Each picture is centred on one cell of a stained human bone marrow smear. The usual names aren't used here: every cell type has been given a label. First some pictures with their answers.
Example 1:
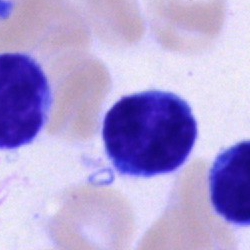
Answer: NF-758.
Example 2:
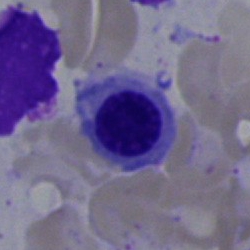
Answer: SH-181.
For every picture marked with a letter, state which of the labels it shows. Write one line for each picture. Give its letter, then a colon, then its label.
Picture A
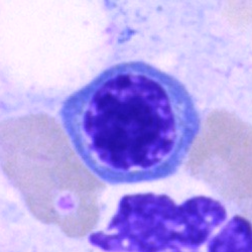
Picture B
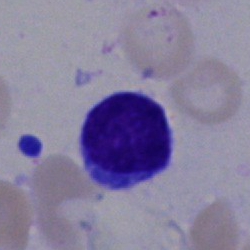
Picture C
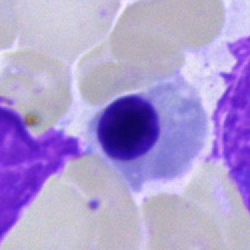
A: SH-181.
B: NF-758.
C: SH-181.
